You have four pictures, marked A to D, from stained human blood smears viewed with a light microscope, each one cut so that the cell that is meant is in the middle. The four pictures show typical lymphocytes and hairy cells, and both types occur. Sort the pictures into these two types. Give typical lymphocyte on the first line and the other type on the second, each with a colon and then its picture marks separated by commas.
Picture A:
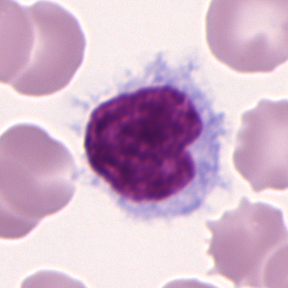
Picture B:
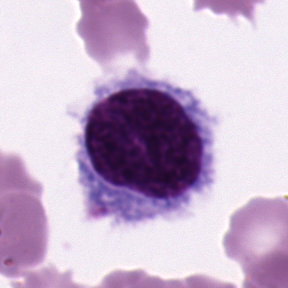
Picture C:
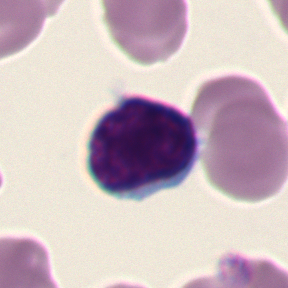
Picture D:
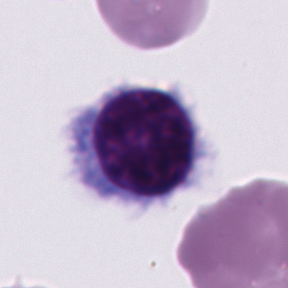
typical lymphocyte: C
hairy cell: A, B, D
